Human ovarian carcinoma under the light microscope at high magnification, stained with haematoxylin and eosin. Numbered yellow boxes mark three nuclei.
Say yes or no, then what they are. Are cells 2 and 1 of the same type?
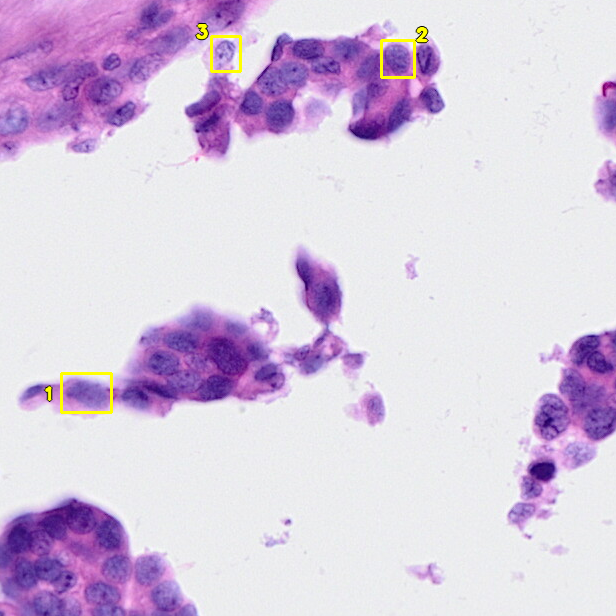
Yes, both are carcinoma cells.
